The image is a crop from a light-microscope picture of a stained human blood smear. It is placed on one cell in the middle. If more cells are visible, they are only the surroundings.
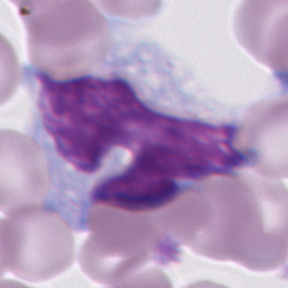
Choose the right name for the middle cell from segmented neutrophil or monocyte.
monocyte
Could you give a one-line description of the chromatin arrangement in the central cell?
Heads up, the chromatin is fine with no coarse clumps in it.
